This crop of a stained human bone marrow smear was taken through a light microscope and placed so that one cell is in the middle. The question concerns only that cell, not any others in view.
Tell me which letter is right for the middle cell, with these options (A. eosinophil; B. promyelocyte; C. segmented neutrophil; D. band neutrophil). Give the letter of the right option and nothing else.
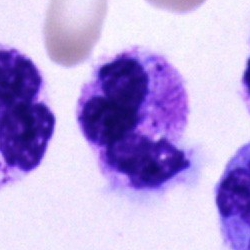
C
